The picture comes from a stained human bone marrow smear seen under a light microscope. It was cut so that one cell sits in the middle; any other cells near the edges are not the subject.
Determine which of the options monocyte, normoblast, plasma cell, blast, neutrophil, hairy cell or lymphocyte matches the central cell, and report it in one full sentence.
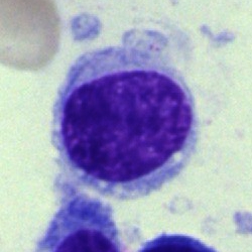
The cell under consideration, at the middle of the crop, is a hairy cell.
